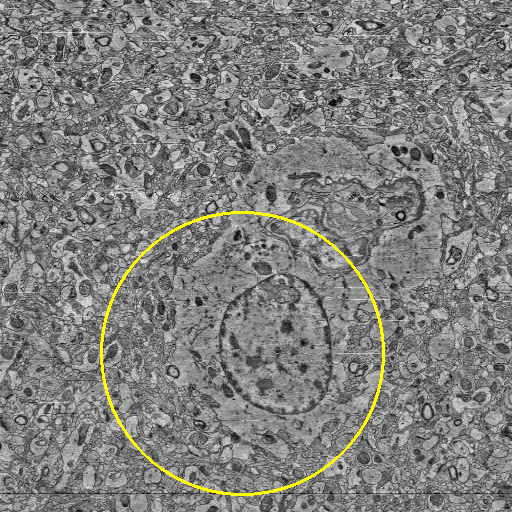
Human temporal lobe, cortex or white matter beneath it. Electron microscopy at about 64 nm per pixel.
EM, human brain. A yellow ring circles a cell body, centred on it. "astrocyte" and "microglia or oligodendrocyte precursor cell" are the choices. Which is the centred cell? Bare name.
astrocyte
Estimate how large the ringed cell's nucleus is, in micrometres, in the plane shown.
The nucleus comes to roughly 9 by 7 micrometres in this plane.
